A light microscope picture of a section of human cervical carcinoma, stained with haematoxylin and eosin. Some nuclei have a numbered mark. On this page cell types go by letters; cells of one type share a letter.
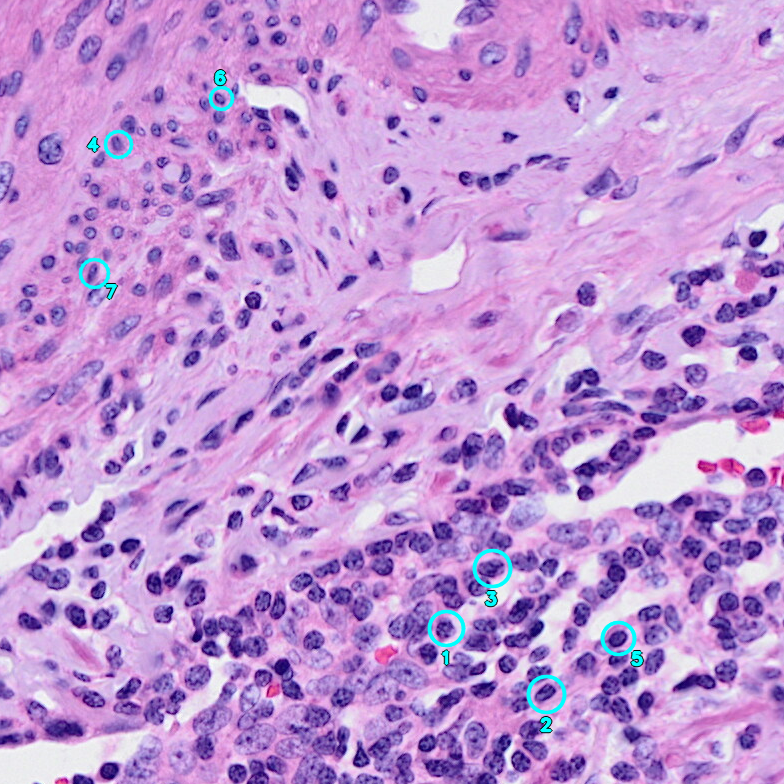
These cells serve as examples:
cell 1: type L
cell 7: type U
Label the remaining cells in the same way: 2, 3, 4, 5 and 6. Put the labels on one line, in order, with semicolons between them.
type L; type L; type U; type L; type U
